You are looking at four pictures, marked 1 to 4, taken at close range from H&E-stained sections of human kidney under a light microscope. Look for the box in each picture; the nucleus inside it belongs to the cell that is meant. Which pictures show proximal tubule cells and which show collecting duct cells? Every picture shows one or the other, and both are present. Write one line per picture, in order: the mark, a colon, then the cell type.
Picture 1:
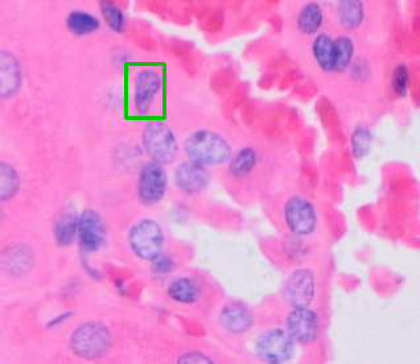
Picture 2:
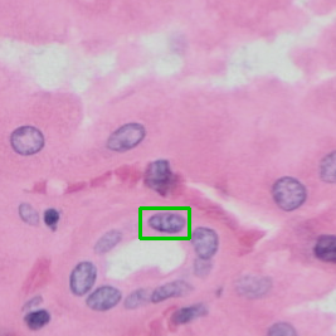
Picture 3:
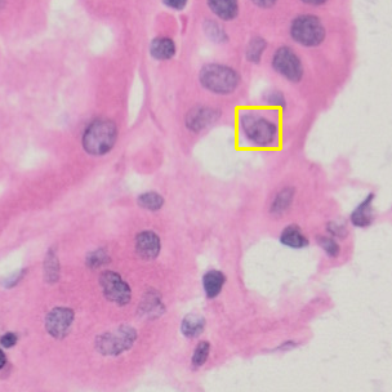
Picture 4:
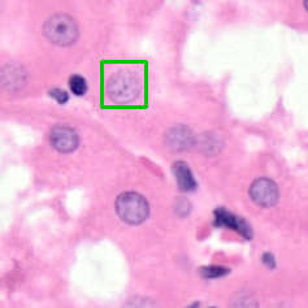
1: collecting duct cell
2: collecting duct cell
3: collecting duct cell
4: proximal tubule cell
